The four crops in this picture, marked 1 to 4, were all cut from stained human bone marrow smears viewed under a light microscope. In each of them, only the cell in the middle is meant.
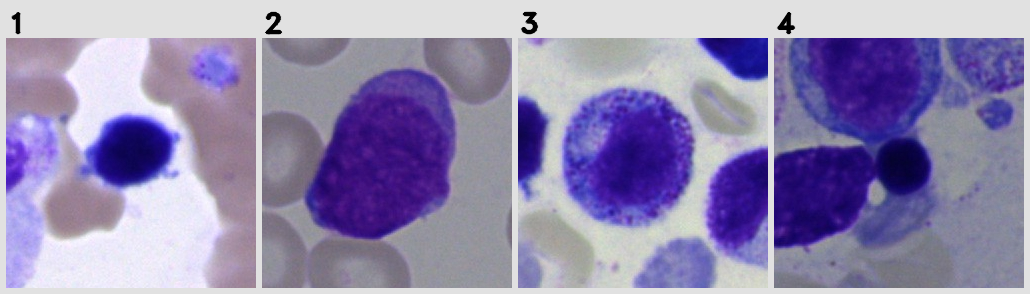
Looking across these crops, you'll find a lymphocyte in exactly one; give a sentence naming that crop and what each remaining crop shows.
It is crop 1 that shows a lymphocyte, while crop 2 is a blast, crop 3 is a promyelocyte and crop 4 is an erythroblast.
